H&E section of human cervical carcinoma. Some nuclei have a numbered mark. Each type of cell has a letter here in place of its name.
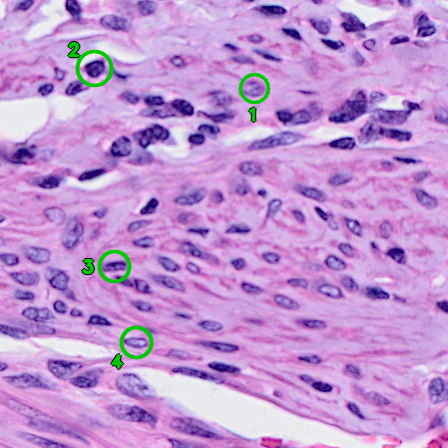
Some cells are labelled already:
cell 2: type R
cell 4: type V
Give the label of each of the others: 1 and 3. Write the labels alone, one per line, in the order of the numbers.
type V
type V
